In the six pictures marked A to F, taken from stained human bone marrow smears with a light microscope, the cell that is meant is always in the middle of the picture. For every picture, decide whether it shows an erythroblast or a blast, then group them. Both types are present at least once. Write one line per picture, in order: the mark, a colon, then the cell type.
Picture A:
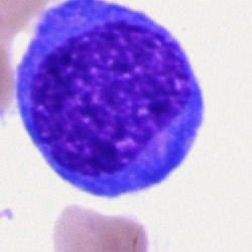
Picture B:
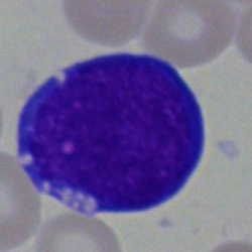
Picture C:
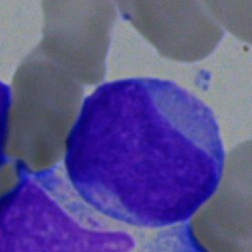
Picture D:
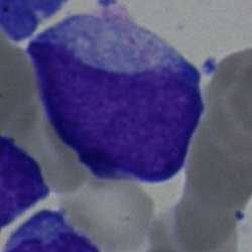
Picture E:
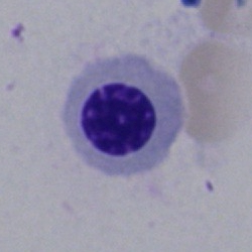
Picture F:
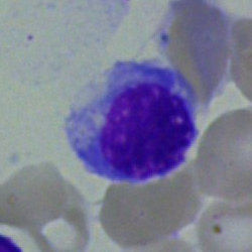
A: erythroblast
B: blast
C: blast
D: blast
E: erythroblast
F: erythroblast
